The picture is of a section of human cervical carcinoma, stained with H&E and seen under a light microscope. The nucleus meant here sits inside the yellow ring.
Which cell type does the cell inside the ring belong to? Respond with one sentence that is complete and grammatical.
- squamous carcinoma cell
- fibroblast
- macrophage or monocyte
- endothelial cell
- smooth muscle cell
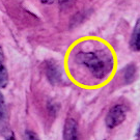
As a matter of cell type, the cell inside the ring is a macrophage or monocyte.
